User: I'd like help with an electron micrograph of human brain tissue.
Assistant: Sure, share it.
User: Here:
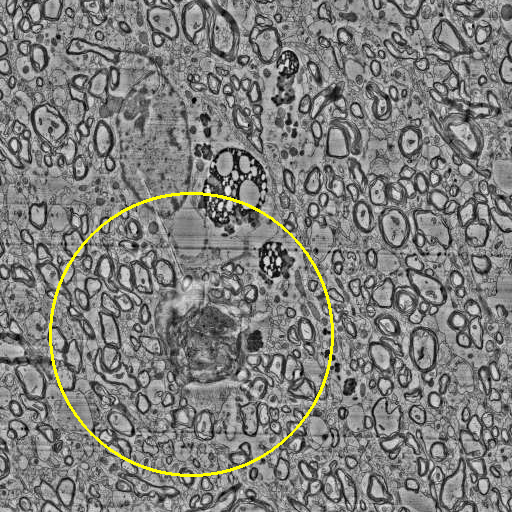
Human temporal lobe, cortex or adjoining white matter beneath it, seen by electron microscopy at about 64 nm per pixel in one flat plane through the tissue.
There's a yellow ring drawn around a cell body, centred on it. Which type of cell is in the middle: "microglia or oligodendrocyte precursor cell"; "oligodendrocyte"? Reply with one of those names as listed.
oligodendrocyte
